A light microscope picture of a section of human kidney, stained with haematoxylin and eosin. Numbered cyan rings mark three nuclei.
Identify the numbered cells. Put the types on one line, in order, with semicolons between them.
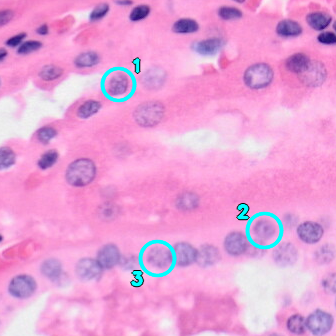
loop of Henle or distal tubule cell; collecting duct cell; collecting duct cell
